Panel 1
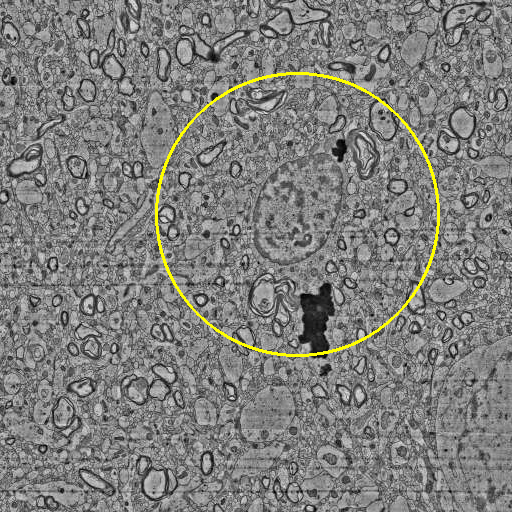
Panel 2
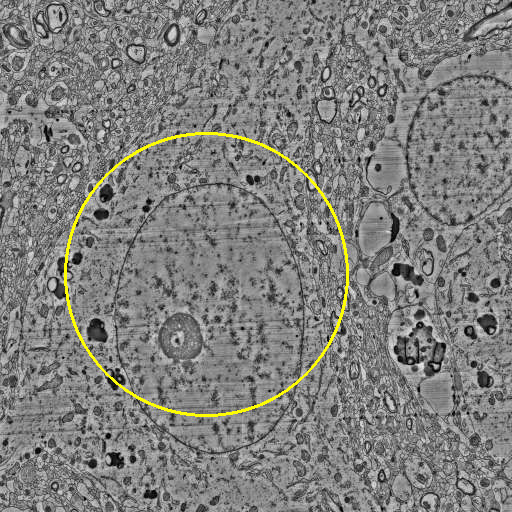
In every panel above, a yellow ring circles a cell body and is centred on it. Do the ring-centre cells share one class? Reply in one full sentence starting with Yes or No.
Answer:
No, the two cells at the ring centres in the panels belong to two classes.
